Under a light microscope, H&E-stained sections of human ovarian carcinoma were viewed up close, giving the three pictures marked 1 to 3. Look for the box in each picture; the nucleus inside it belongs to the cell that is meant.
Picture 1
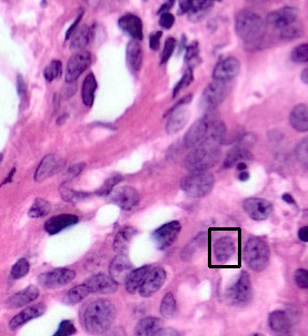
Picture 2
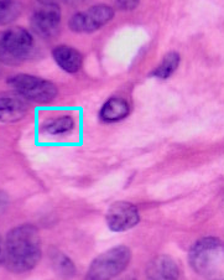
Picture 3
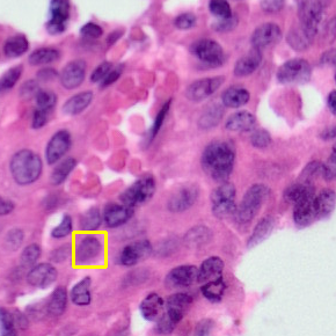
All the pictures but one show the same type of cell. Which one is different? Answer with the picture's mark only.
2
